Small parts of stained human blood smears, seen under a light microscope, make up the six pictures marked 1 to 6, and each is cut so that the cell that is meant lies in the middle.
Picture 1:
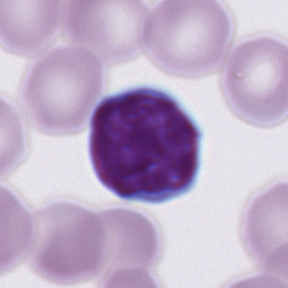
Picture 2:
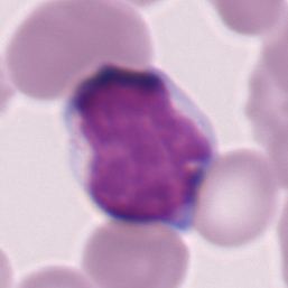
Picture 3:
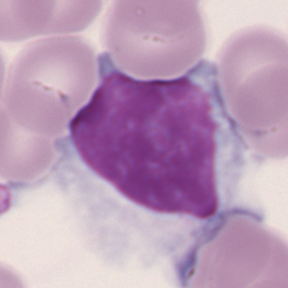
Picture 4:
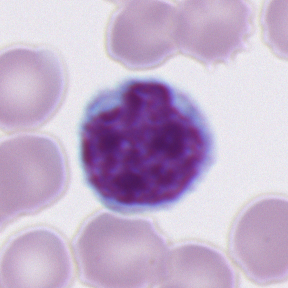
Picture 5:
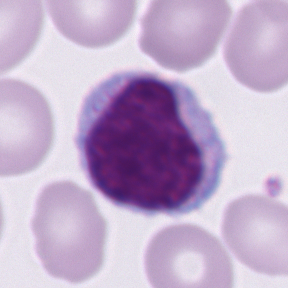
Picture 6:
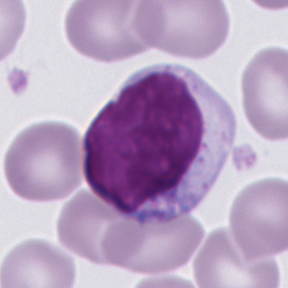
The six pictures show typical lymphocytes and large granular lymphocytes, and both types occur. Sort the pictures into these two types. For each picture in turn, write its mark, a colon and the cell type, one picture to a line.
1: typical lymphocyte
2: large granular lymphocyte
3: typical lymphocyte
4: typical lymphocyte
5: typical lymphocyte
6: large granular lymphocyte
